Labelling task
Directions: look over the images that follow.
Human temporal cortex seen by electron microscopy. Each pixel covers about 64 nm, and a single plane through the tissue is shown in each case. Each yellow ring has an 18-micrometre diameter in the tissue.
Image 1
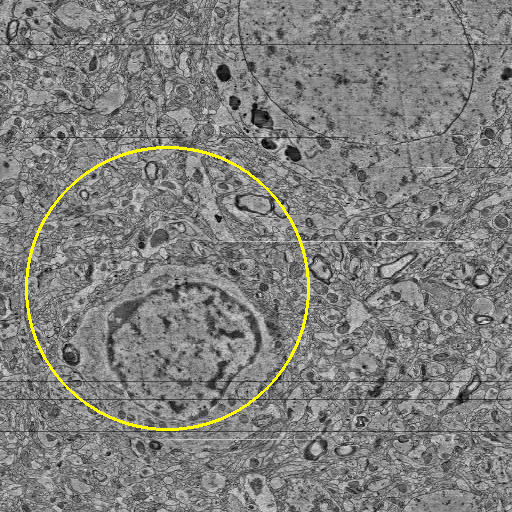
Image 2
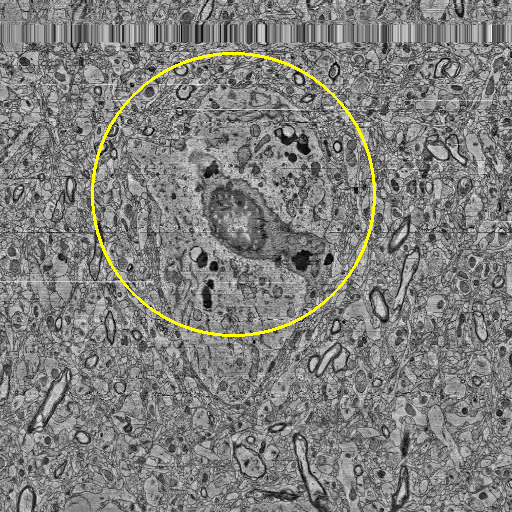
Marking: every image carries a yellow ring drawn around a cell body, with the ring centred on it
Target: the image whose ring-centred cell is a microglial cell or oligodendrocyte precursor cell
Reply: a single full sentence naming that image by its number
The requested cell sits at the ring's centre in Image 1.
